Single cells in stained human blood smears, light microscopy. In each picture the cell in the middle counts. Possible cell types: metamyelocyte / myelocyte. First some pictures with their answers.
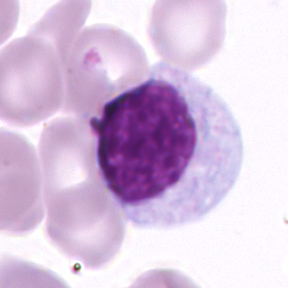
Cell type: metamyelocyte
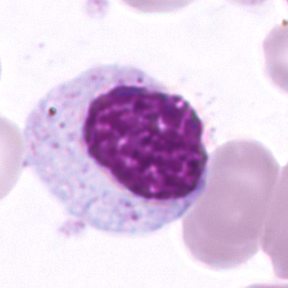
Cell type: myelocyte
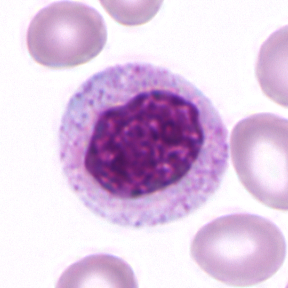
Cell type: metamyelocyte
